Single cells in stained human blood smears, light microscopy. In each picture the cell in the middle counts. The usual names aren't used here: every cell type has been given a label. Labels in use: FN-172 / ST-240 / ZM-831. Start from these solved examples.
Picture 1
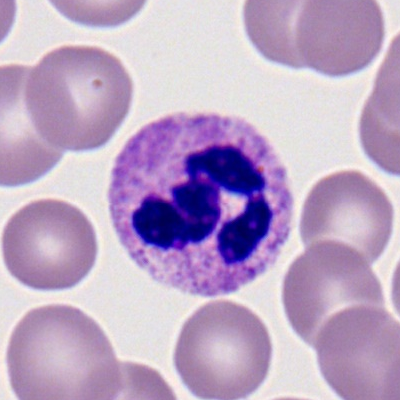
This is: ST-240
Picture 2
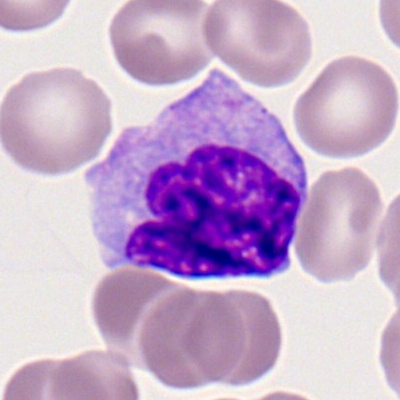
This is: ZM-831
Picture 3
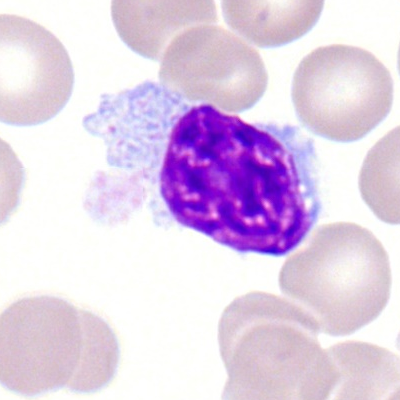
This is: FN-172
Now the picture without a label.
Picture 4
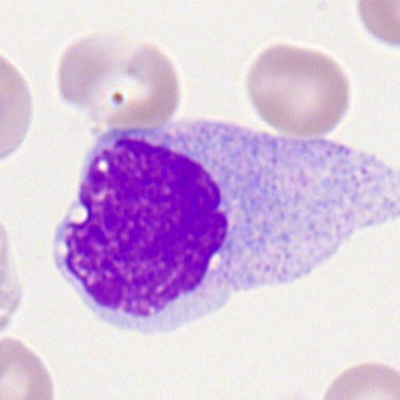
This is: ZM-831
